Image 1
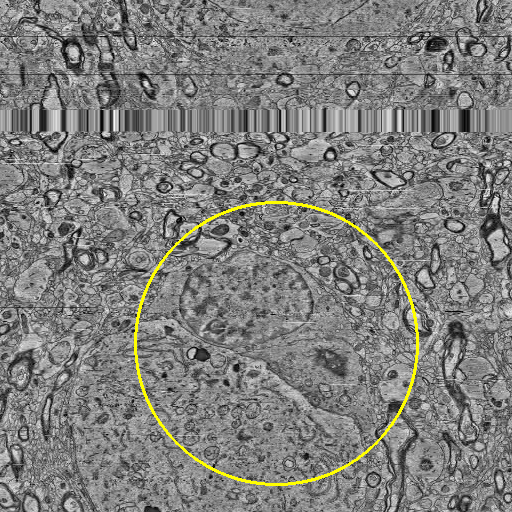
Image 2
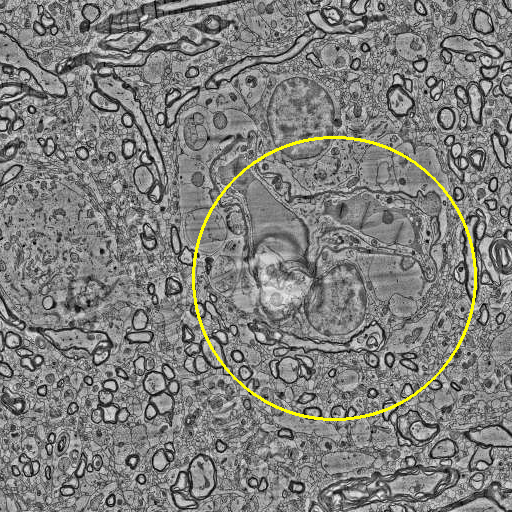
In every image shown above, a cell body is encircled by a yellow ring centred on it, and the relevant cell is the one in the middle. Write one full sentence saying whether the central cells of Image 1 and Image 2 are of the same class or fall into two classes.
The cell at the ring's centre in Image 1 and its counterpart in Image 2 fall into two classes.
